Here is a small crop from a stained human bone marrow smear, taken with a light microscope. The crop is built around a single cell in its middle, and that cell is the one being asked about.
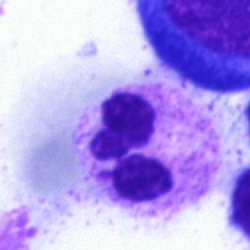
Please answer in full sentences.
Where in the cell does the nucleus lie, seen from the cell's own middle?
The nucleus lies toward the left of the cell.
